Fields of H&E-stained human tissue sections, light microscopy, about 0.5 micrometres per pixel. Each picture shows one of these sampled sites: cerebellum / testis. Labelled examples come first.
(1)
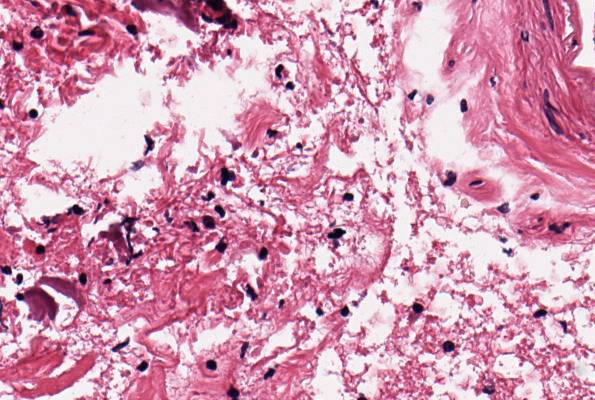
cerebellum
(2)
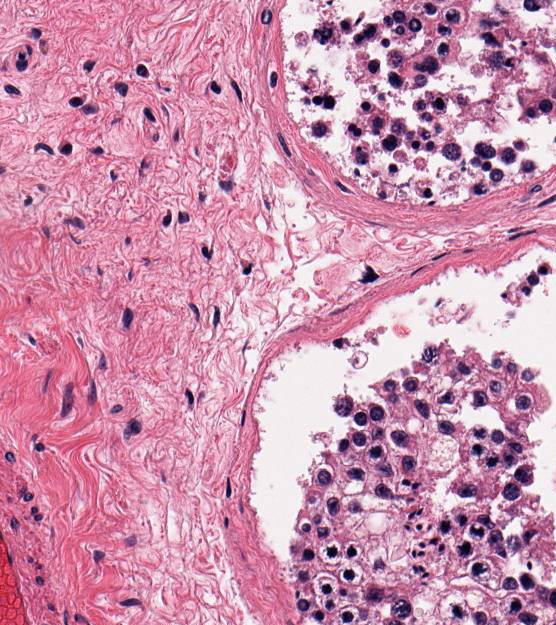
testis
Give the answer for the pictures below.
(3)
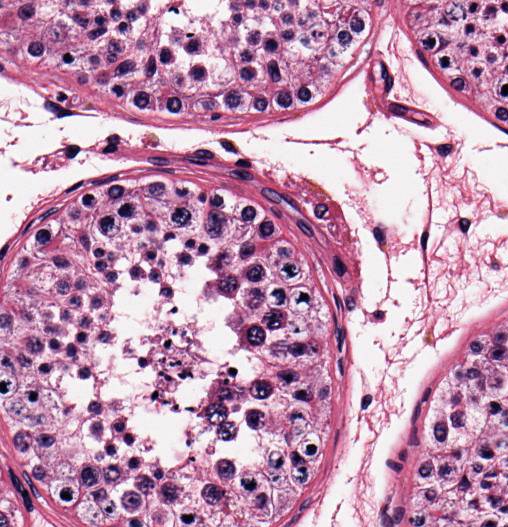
testis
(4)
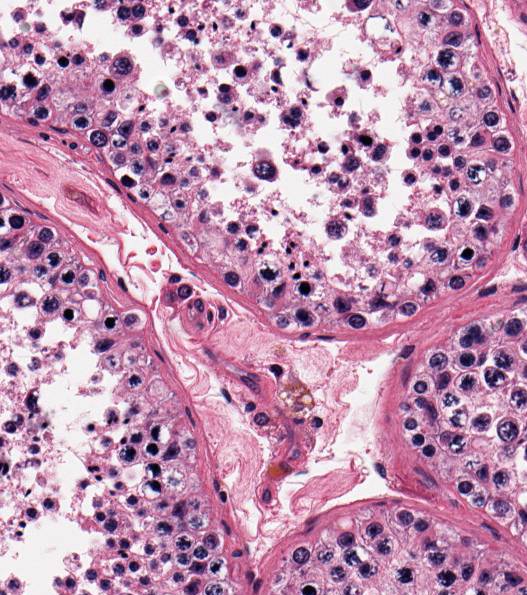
testis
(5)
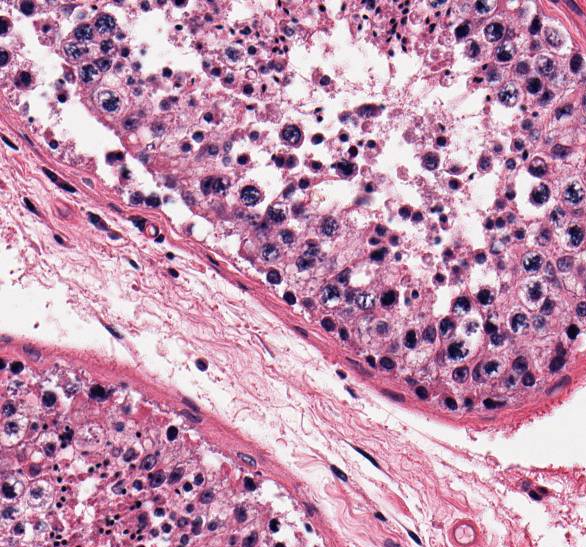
testis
